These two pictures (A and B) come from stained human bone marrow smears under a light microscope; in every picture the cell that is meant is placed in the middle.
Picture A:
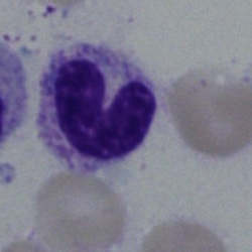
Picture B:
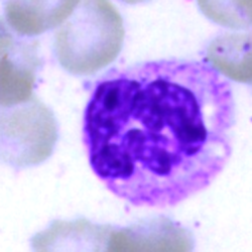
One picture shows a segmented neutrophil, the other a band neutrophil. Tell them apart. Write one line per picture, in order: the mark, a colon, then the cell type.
A: band neutrophil
B: segmented neutrophil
